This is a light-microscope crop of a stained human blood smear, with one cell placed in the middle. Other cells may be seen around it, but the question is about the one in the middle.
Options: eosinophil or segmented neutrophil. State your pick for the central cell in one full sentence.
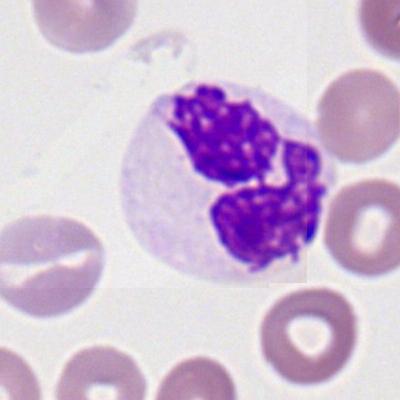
The cell that lies at the centre of the crop is a segmented neutrophil.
